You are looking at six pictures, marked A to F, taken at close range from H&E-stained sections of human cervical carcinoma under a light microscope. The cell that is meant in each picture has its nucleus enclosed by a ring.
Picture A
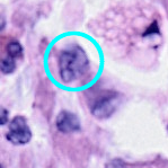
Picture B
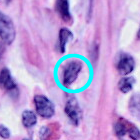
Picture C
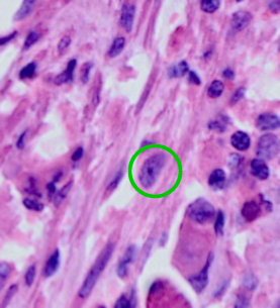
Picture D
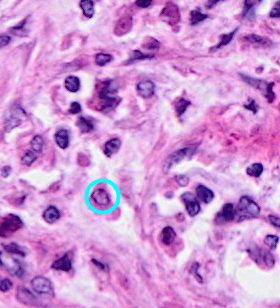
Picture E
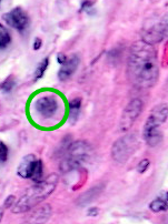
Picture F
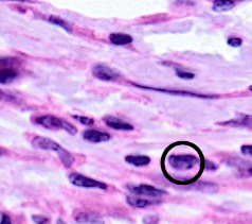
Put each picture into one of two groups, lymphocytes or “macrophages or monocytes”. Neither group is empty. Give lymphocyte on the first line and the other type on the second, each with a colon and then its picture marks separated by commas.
lymphocyte: B, E, F
macrophage or monocyte: A, C, D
